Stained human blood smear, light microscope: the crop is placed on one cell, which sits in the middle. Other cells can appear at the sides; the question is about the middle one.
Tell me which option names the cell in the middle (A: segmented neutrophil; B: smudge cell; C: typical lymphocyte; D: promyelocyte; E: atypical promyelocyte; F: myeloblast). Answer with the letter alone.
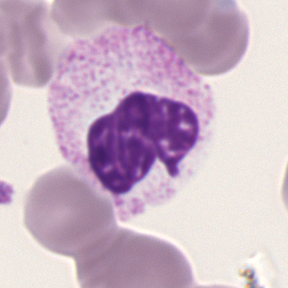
A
